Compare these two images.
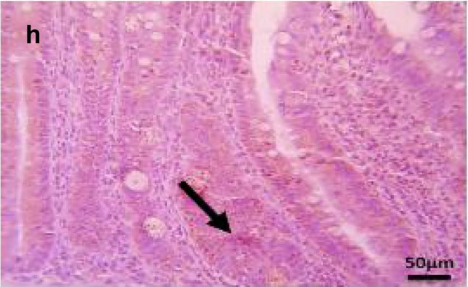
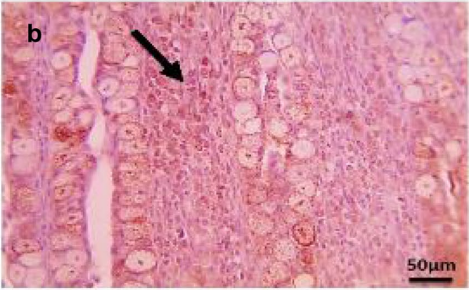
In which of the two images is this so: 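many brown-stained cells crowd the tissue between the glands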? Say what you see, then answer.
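Second image: the tissue between the glands is densely packed with small round cells tinged brown.
The second image.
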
